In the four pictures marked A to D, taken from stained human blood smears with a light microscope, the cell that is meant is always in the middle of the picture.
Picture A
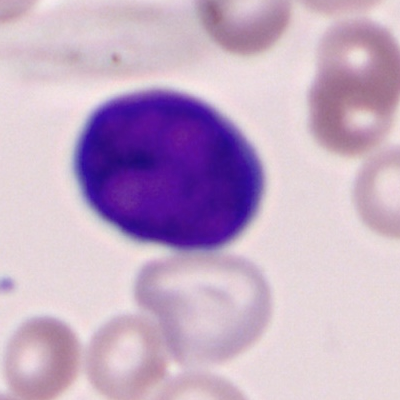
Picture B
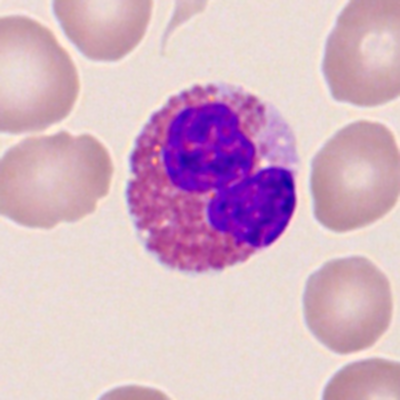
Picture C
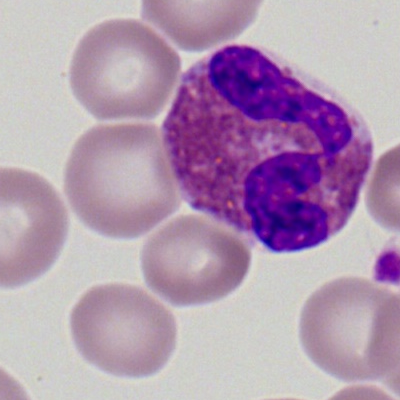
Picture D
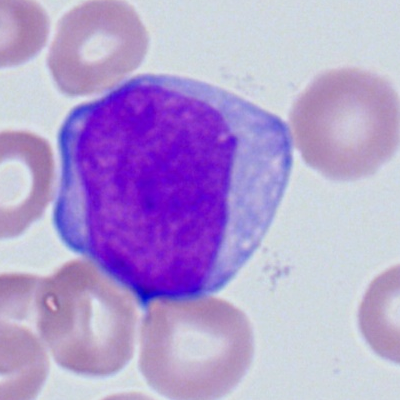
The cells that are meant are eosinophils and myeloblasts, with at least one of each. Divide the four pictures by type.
A: myeloblast
B: eosinophil
C: eosinophil
D: myeloblast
